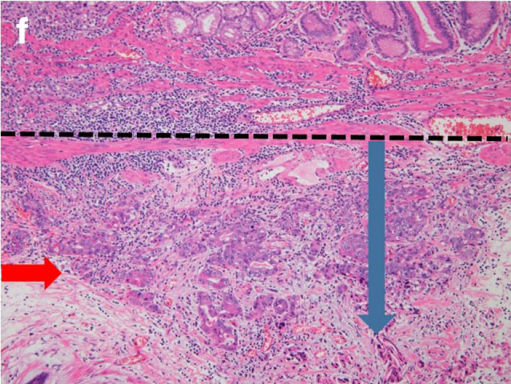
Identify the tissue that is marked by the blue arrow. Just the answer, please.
Submucosa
